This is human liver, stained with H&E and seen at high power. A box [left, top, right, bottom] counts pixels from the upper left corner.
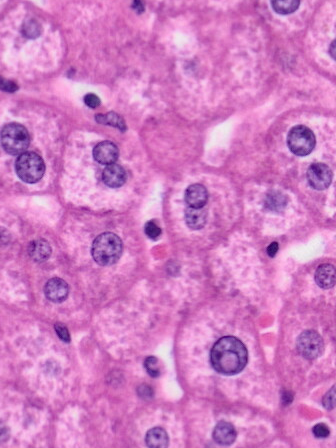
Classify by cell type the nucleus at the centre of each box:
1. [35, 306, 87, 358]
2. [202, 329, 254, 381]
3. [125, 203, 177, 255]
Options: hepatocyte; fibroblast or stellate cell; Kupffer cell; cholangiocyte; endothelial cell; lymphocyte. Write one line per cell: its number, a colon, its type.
1: fibroblast or stellate cell
2: hepatocyte
3: lymphocyte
